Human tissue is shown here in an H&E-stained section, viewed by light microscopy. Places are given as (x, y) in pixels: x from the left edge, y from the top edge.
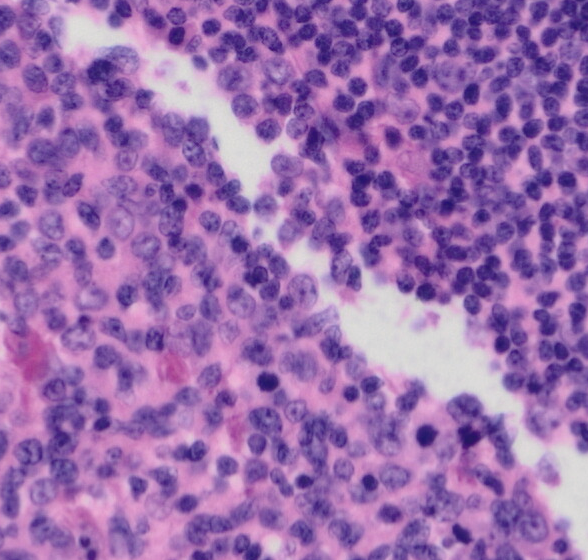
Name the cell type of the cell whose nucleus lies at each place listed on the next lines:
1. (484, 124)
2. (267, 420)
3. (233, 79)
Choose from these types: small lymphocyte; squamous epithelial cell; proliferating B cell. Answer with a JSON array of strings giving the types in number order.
["small lymphocyte", "proliferating B cell", "proliferating B cell"]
